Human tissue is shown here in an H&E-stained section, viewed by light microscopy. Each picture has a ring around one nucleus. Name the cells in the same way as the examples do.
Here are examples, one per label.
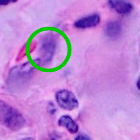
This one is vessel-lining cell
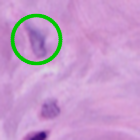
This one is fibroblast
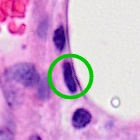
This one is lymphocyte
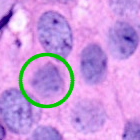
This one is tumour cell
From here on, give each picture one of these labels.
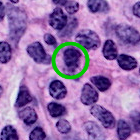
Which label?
lymphocyte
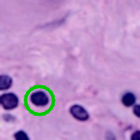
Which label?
lymphocyte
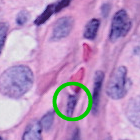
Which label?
vessel-lining cell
